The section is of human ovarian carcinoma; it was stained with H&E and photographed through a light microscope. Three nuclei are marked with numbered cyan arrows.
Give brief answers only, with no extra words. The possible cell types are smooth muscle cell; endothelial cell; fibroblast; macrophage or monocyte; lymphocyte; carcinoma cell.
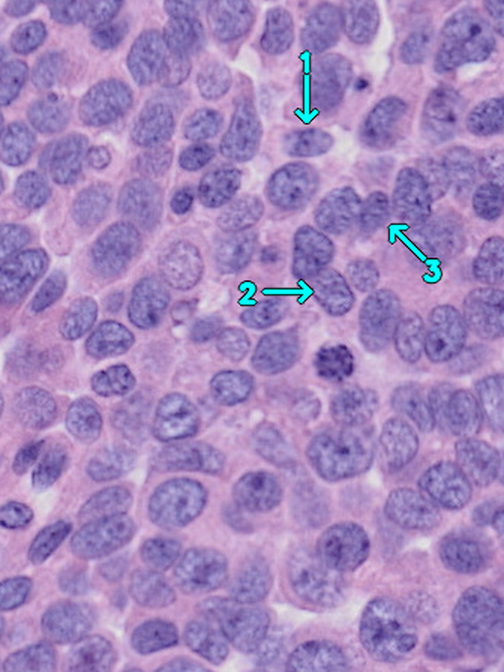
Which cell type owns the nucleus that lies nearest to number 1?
carcinoma cell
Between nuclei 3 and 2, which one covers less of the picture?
3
